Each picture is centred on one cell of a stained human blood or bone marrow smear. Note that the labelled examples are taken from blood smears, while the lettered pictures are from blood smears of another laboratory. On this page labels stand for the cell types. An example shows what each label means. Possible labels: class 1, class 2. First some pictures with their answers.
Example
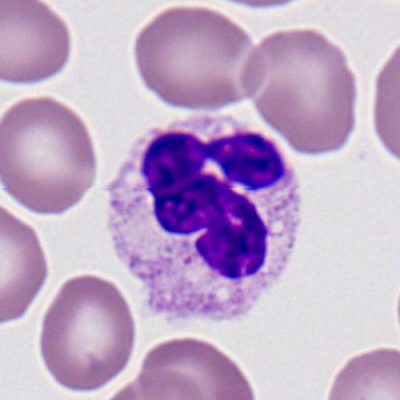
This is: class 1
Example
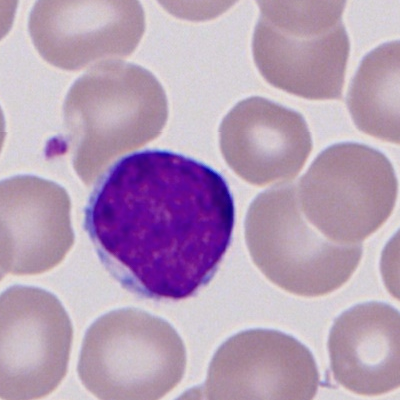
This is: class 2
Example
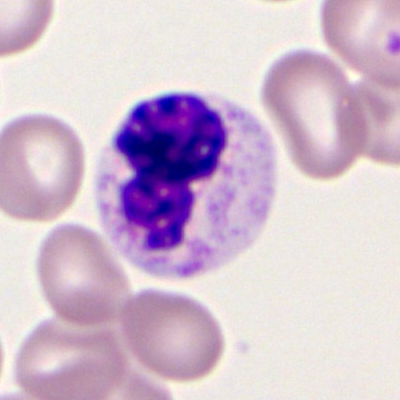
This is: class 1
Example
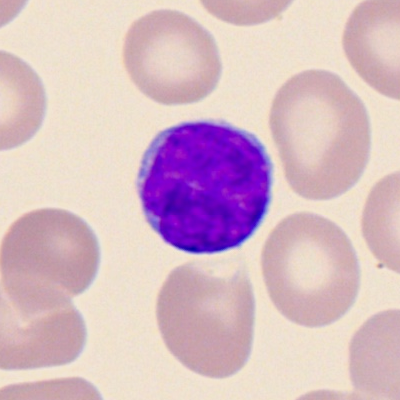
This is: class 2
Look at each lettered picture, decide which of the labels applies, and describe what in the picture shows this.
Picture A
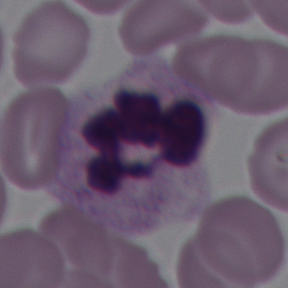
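class 1. Reason: The cytoplasm is plentiful and pale pinkish-lilac.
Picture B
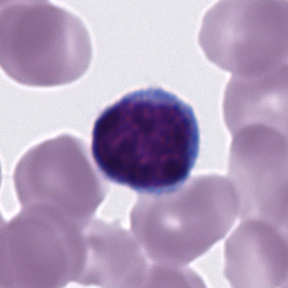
class 2. Reason: The cytoplasm is only a very thin rim around the nucleus.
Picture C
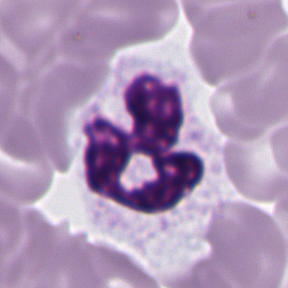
class 1. Reason: The cytoplasm is plentiful and very pale, almost colourless.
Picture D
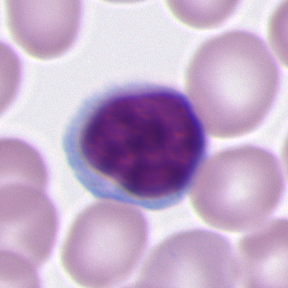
class 2. Reason: The nucleus fills most of the cell and sits toward its upper right.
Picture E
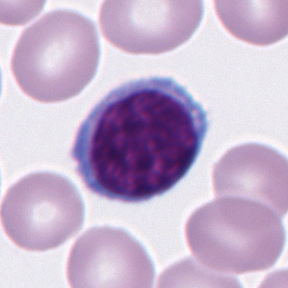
class 2. Reason: The cytoplasm forms a narrow rim that is widest on the left side of the nucleus.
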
